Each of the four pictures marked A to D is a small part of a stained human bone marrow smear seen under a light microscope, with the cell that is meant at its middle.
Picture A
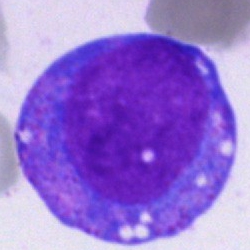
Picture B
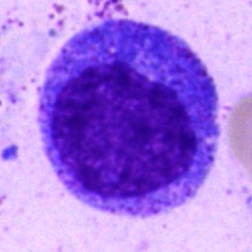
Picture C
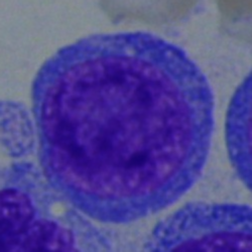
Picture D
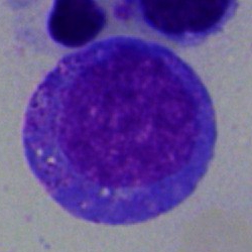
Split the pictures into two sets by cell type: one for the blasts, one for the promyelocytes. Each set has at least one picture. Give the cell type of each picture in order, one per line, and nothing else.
blast
promyelocyte
blast
blast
